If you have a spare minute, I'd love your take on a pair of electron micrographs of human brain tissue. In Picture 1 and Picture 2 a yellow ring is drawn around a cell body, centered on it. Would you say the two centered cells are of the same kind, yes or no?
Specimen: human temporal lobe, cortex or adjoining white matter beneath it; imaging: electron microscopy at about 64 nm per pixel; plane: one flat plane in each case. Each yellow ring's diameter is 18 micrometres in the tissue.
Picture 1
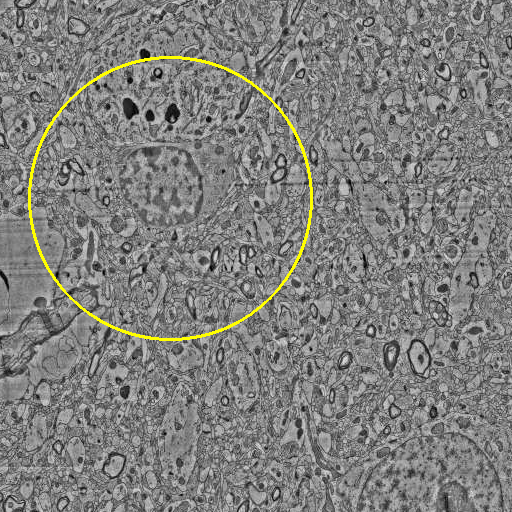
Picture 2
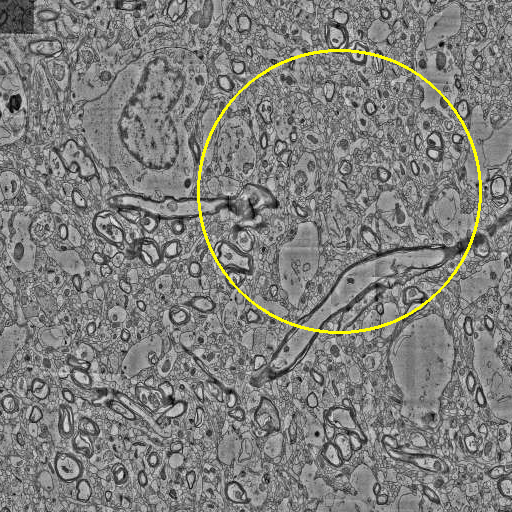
no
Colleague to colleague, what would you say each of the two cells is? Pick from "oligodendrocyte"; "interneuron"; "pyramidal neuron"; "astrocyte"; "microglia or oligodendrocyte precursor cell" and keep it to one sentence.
The cell in the first picture is an oligodendrocyte; the second picture's cell is a microglial cell or oligodendrocyte precursor cell.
